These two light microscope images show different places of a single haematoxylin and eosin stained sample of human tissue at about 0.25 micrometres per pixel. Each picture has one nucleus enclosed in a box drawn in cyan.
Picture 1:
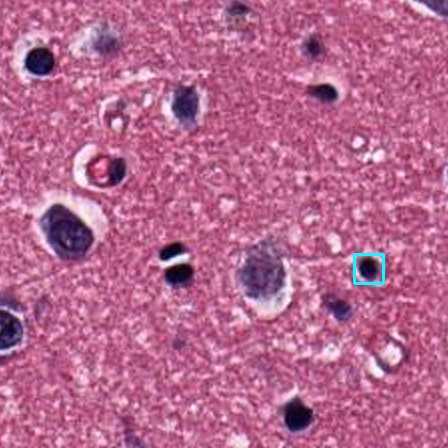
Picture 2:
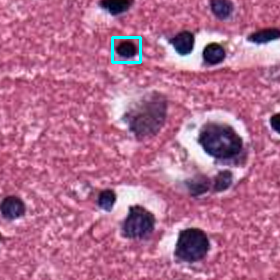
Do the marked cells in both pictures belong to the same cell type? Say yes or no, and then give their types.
Yes, both are oligodendrocytes.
